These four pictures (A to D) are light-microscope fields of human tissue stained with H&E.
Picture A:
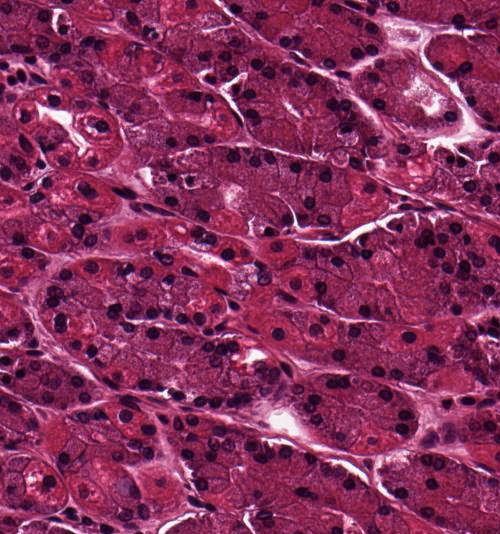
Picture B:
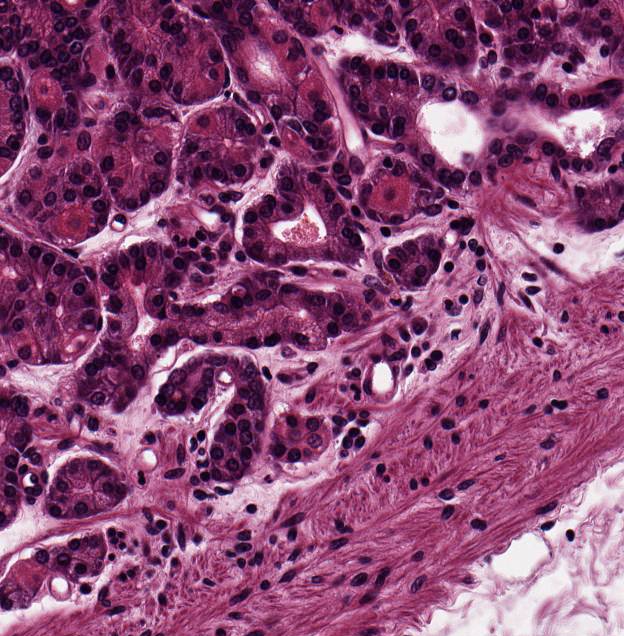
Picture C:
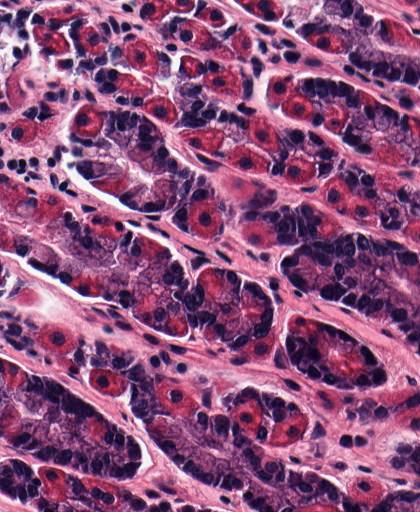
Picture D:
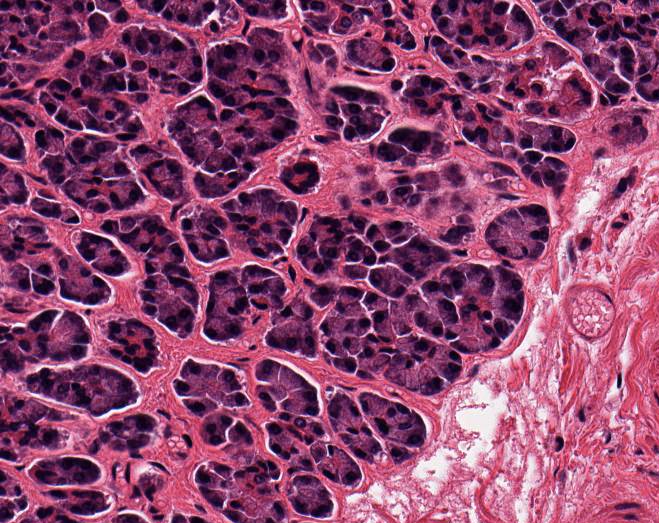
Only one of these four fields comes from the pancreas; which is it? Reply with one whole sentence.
It is picture D that comes from the pancreas.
